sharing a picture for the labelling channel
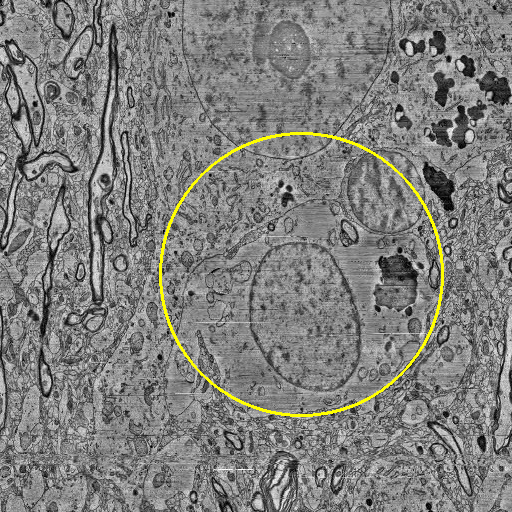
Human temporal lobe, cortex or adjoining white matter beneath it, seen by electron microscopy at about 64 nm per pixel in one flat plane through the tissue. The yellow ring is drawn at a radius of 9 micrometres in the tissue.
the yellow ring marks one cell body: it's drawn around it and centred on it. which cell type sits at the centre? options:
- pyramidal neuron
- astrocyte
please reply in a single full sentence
In the picture, the cell at the ring's centre is an astrocyte, going by the list.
